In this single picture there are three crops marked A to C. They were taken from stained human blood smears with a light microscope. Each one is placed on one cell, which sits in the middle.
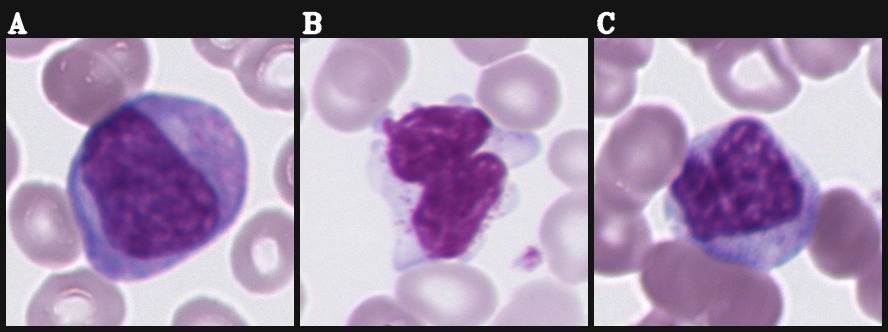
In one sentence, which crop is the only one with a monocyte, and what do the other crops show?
Crop C displays a monocyte, whereas crop A is an atypical promyelocyte and crop B is a large granular lymphocyte.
